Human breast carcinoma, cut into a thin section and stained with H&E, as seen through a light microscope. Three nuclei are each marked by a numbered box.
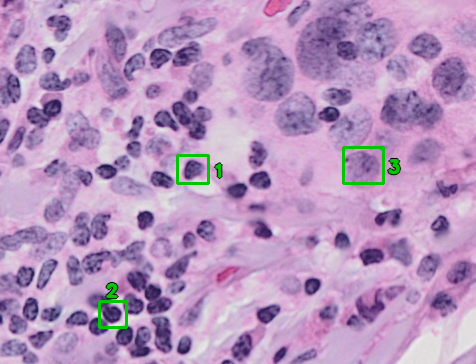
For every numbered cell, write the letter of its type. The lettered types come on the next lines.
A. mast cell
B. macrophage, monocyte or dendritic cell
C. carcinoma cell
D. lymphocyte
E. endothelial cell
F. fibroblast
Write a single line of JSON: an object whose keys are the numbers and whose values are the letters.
{"1": "D", "2": "D", "3": "C"}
